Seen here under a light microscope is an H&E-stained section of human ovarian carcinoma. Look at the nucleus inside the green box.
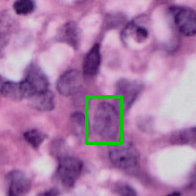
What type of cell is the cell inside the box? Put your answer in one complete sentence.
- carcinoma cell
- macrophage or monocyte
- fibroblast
The correct response here is that the cell inside the box is a carcinoma cell.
